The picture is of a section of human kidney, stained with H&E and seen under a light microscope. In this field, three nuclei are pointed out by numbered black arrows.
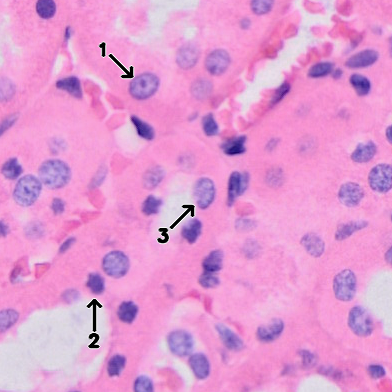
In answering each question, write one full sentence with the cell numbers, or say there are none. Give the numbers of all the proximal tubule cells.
Cell number 1 alone is a proximal tubule cell; the rest are not.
